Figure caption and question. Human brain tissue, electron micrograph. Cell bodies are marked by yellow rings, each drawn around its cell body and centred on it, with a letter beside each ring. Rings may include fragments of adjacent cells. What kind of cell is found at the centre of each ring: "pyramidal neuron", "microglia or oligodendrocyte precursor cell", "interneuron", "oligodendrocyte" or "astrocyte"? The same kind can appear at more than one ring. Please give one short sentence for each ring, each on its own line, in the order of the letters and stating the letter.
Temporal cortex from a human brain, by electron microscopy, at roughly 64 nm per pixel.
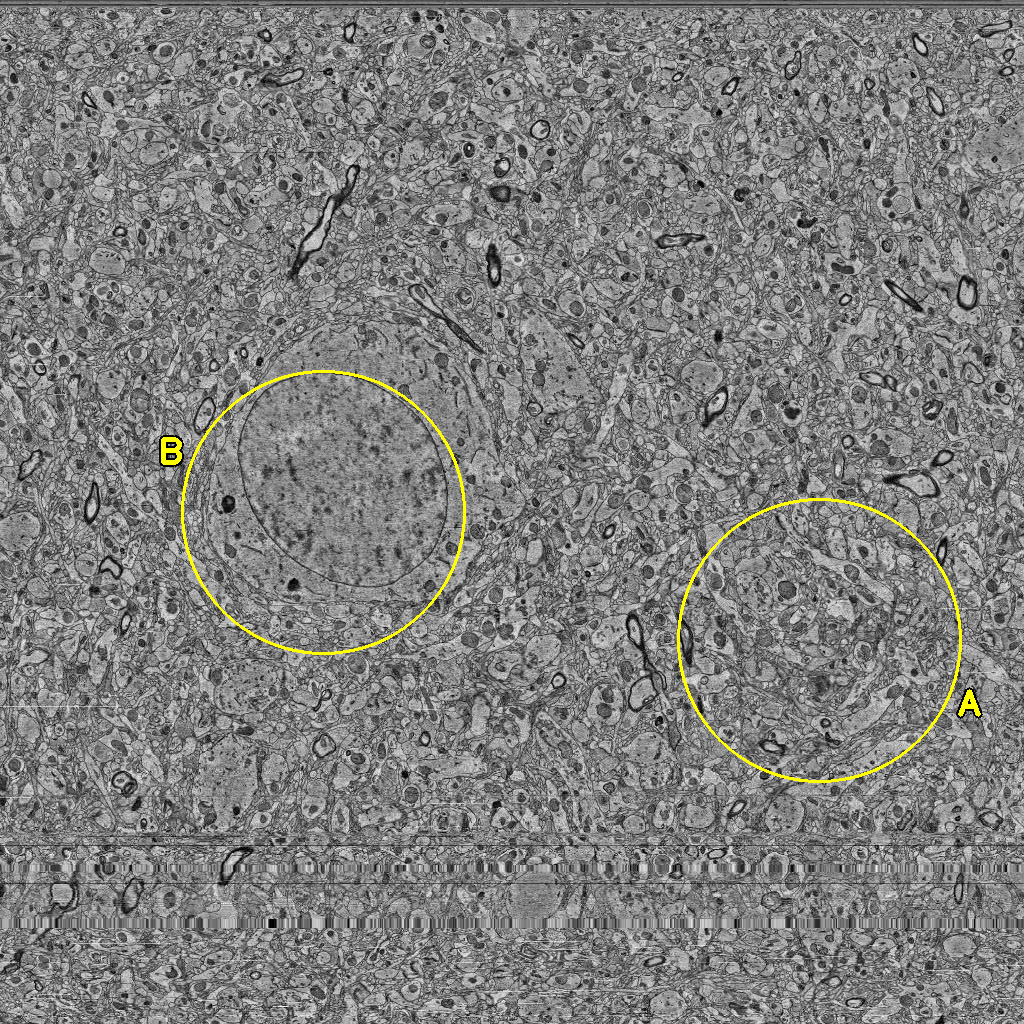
The centre of ring A falls on a microglial cell or oligodendrocyte precursor cell.
The centre of ring B falls on a pyramidal neuron.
